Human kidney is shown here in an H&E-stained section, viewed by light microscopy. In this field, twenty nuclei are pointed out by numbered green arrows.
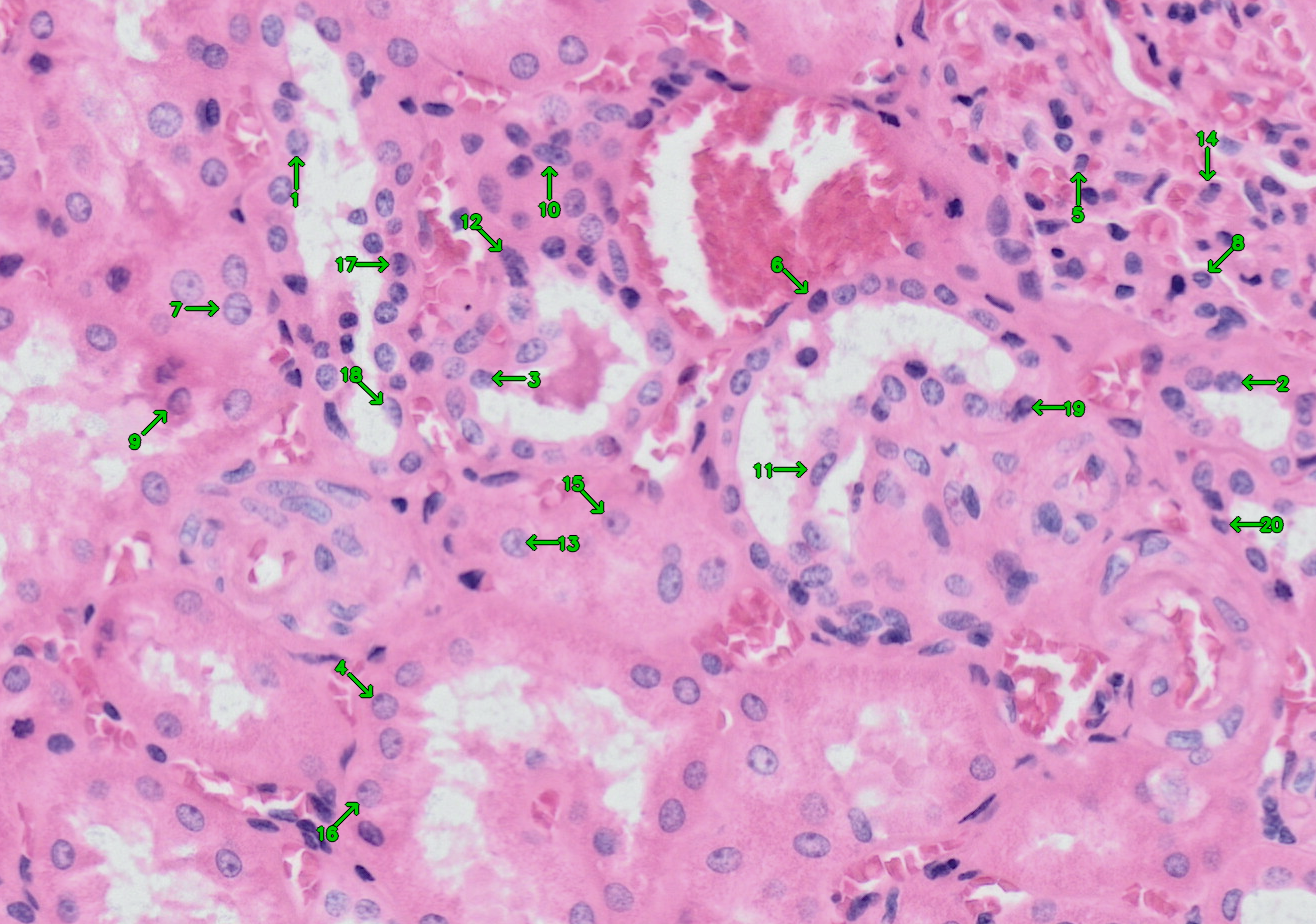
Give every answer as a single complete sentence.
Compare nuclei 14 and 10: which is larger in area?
Nucleus 10 is the larger one, covering about 2 times the area of nucleus 14.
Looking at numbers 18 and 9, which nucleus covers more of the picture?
Nucleus 9 covers more area, about 1.5 times as much as nucleus 18.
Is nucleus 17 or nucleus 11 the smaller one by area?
Number 17 is smaller, since number 11 takes up about 2 times as much area.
